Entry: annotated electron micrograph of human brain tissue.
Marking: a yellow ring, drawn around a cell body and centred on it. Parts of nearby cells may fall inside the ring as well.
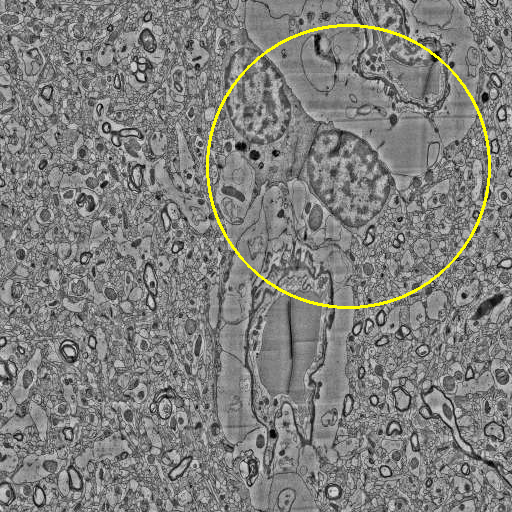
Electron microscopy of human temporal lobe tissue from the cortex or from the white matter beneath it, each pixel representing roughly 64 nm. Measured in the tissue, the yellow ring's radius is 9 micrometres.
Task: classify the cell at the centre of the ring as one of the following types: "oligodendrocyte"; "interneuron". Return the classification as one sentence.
The marked cell is classified as an oligodendrocyte.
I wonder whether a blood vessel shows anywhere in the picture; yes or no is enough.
Yes, the image shows a blood vessel.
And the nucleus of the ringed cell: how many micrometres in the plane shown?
In this plane the nucleus measures roughly 5 micrometres across.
